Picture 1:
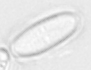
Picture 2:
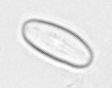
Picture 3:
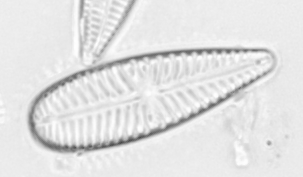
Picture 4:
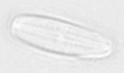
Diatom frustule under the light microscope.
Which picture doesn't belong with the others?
Picture 3.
